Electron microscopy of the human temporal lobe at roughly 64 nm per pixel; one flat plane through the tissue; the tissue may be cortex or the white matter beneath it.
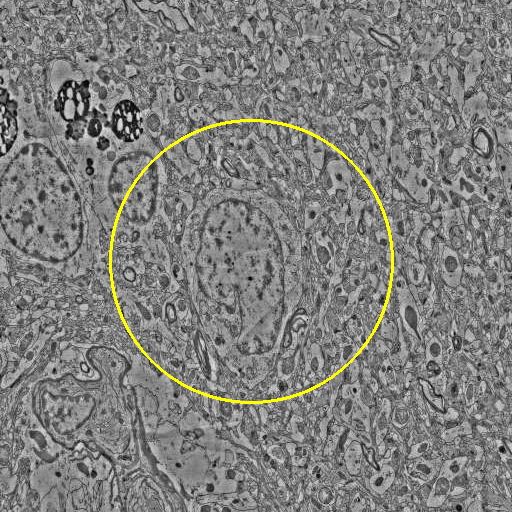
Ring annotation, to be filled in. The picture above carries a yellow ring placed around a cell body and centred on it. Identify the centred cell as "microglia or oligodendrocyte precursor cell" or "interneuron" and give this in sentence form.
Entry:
The cell in the middle of the ring is an interneuron.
